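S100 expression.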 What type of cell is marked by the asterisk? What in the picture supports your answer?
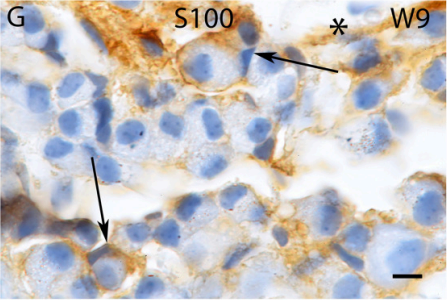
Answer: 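Schwann cells. The asterisk lies on a brown-stained elongated band at the top edge, apart from the large round cell bodies.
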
